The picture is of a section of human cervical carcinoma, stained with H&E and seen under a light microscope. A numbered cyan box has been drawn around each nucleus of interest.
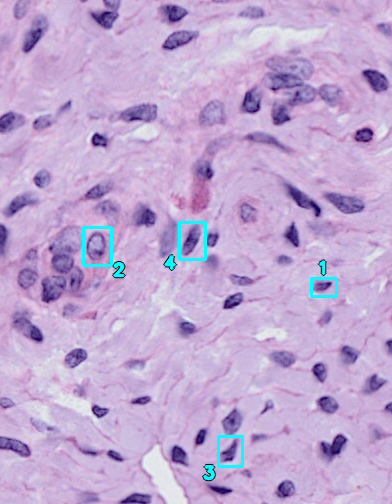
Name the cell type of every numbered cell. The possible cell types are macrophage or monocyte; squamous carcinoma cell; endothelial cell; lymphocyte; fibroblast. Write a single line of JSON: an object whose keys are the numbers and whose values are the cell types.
{"1": "fibroblast", "2": "endothelial cell", "3": "fibroblast", "4": "fibroblast"}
